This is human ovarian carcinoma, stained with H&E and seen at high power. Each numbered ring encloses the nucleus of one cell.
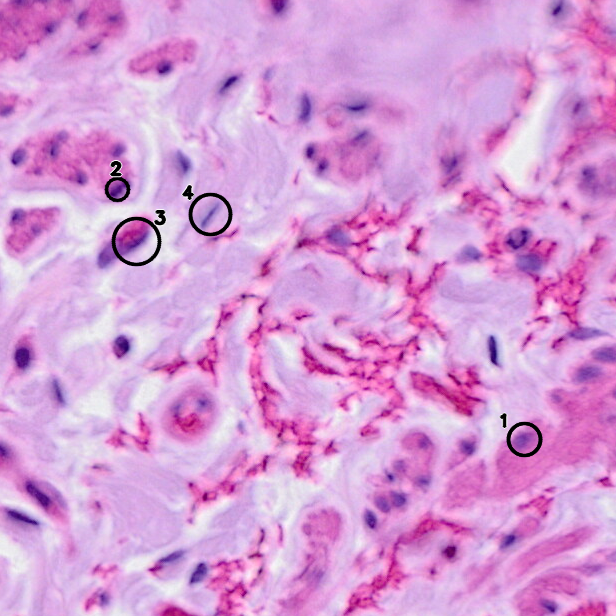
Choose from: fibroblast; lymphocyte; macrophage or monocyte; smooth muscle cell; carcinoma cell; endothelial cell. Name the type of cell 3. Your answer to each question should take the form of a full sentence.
The cell to which the number 3 is assigned is an endothelial cell.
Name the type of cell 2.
The expected answer is that cell 2 is a smooth muscle cell.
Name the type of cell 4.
The cell whose nucleus carries the number 4 is a fibroblast.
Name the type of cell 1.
Cell 1, among those numbered, is a smooth muscle cell.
